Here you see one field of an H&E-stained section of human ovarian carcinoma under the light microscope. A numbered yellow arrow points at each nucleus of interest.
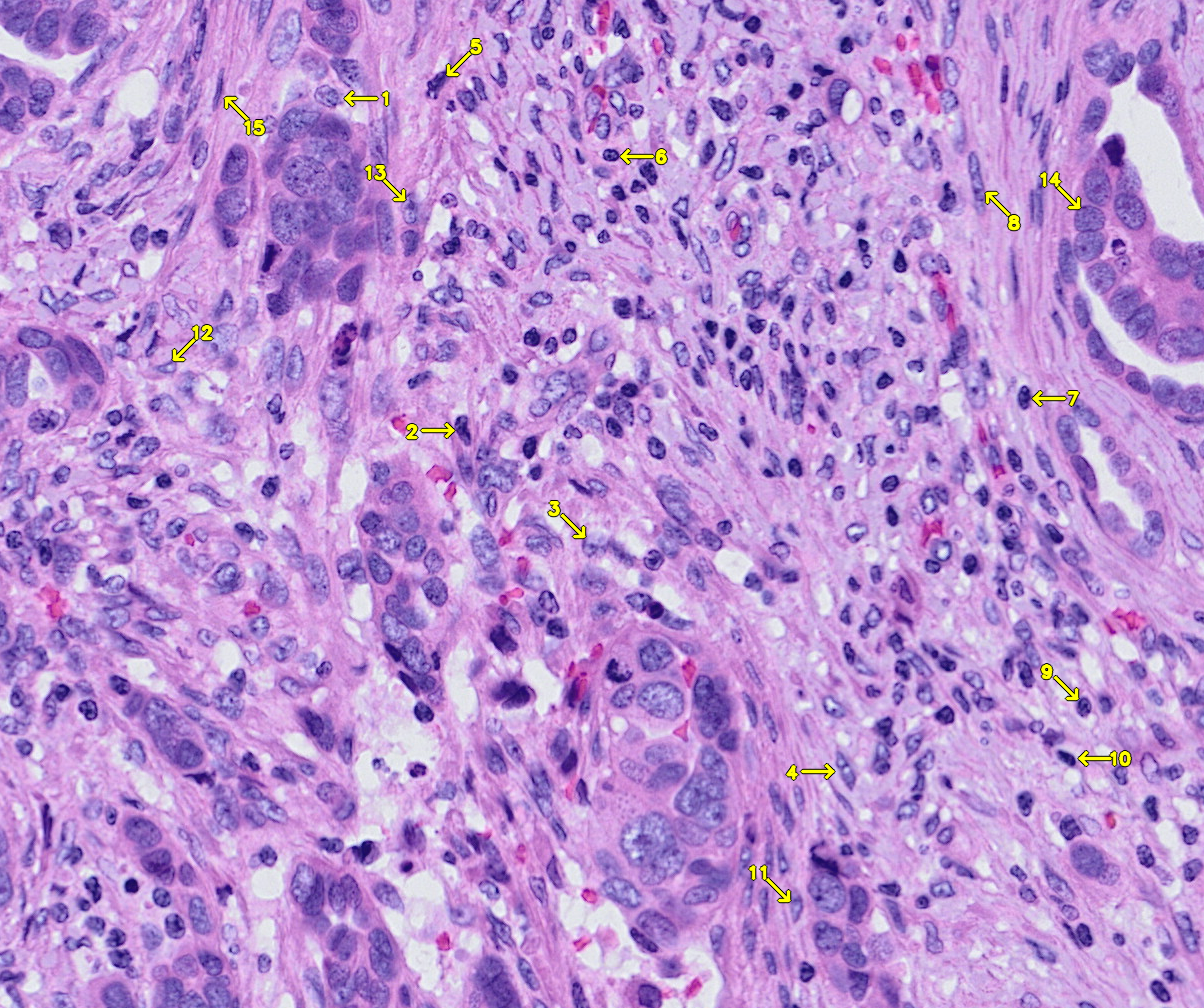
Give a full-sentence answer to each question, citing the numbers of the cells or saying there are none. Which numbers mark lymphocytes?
Classified as lymphocytes are the cells numbered 2, 5, 6, 7, 9 and 10.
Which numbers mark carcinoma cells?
Of those with numbers, only cell 14 is a carcinoma cell.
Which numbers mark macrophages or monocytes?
No marked cell except number 1 is a macrophage or monocyte.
